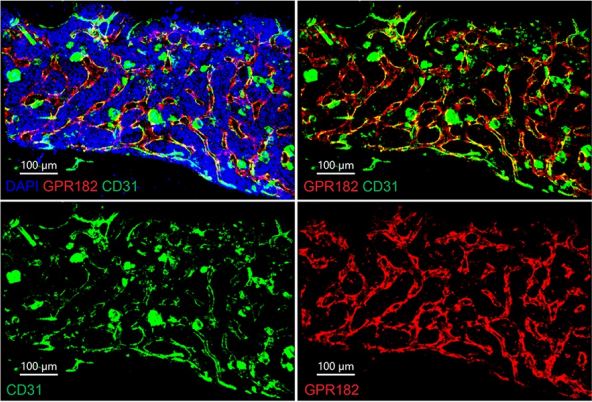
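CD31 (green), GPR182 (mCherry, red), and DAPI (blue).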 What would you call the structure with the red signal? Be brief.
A: Sinusoids.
